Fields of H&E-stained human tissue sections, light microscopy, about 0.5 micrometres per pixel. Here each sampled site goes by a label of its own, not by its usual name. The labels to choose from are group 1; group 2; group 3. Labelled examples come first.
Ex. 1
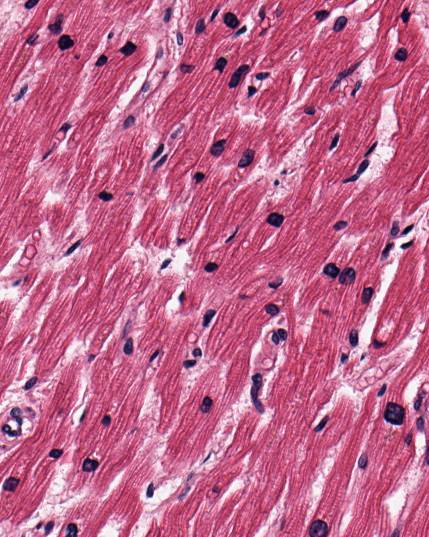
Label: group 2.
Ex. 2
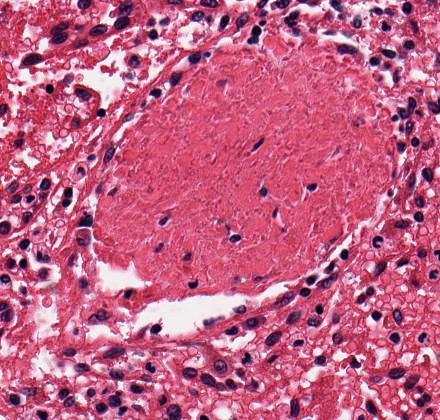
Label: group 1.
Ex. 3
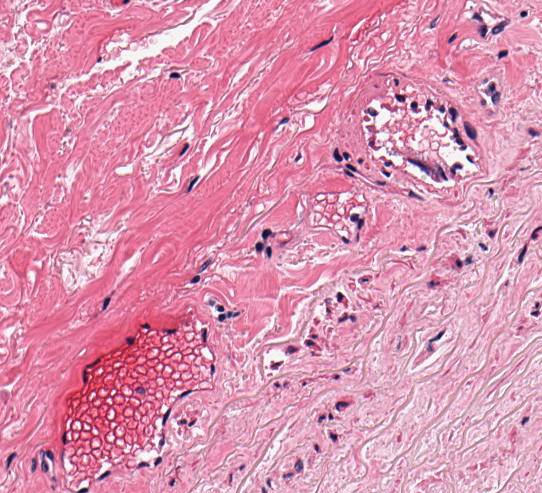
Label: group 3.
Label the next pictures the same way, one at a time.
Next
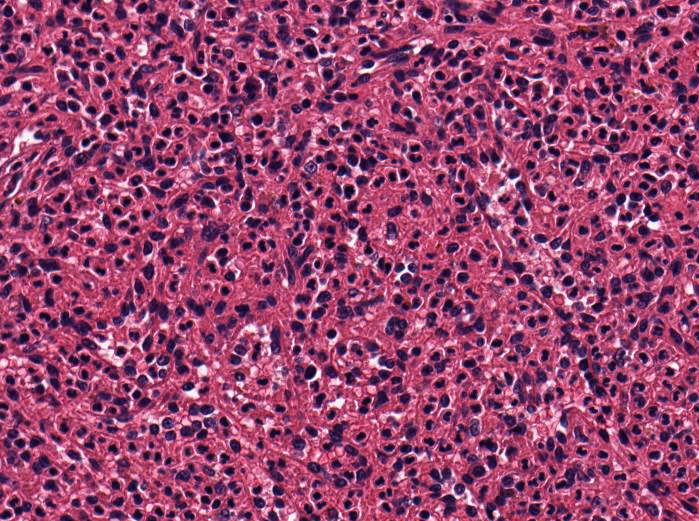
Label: group 1.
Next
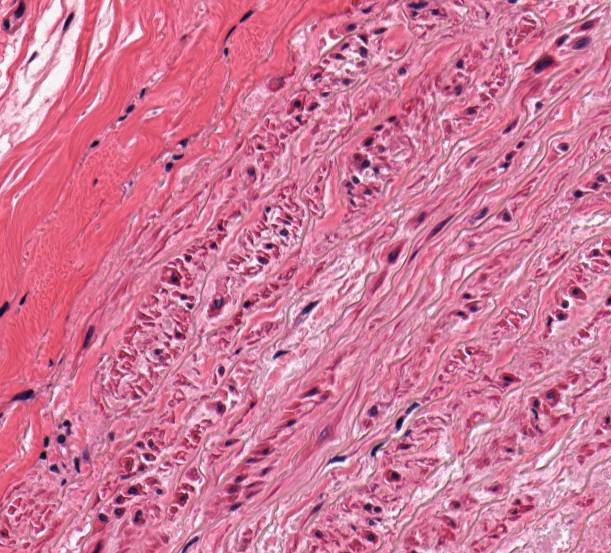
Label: group 3.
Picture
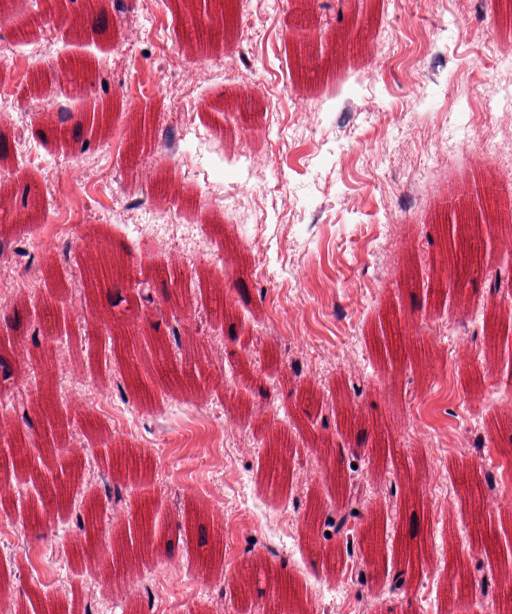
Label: group 2.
